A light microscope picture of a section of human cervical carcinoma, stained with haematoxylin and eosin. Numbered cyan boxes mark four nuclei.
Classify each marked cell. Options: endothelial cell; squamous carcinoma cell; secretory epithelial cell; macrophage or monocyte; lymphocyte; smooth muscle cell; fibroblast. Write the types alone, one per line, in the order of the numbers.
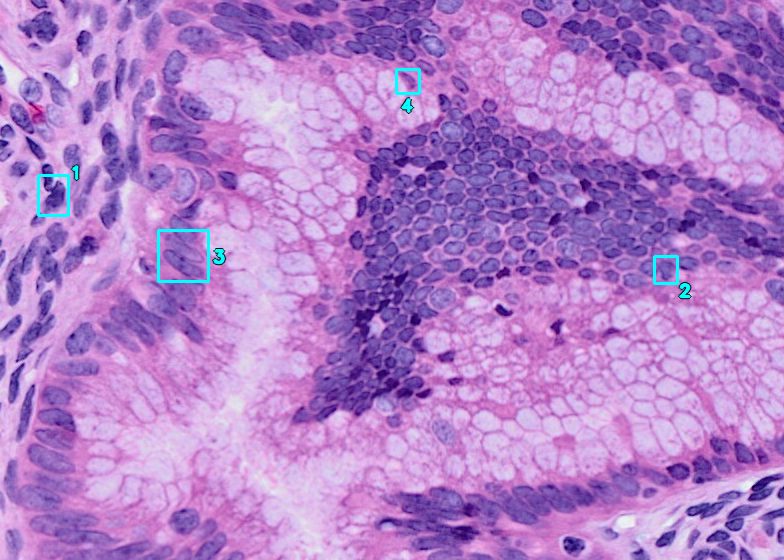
fibroblast
secretory epithelial cell
secretory epithelial cell
secretory epithelial cell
